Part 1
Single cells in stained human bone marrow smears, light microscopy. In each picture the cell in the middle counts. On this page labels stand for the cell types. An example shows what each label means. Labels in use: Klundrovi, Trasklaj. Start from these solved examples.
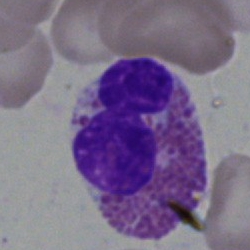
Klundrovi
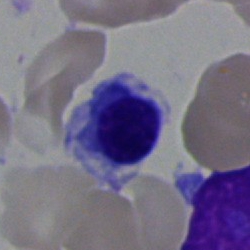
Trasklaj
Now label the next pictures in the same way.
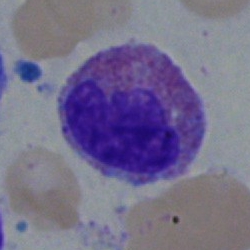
Klundrovi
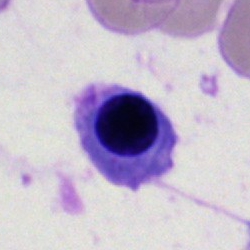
Trasklaj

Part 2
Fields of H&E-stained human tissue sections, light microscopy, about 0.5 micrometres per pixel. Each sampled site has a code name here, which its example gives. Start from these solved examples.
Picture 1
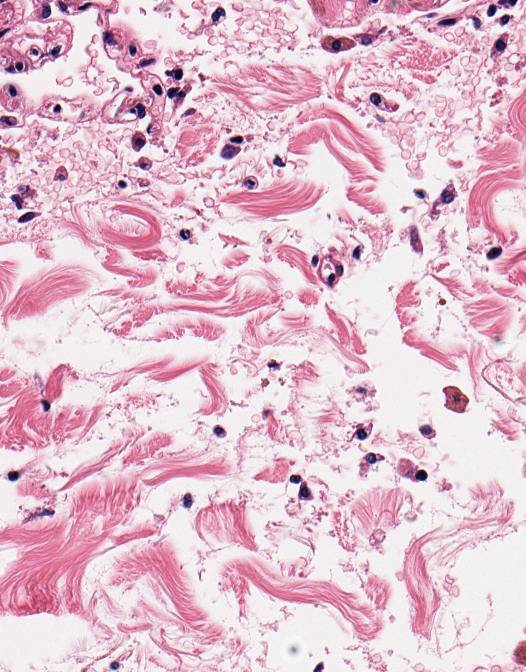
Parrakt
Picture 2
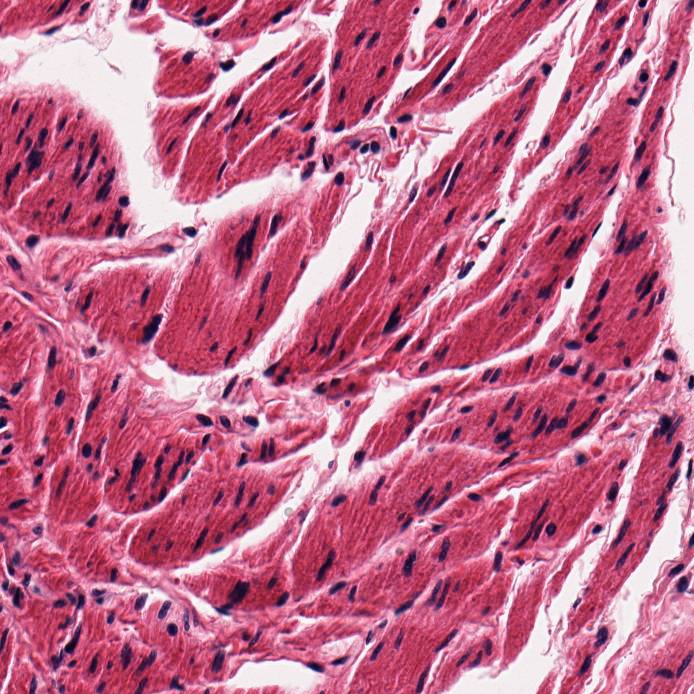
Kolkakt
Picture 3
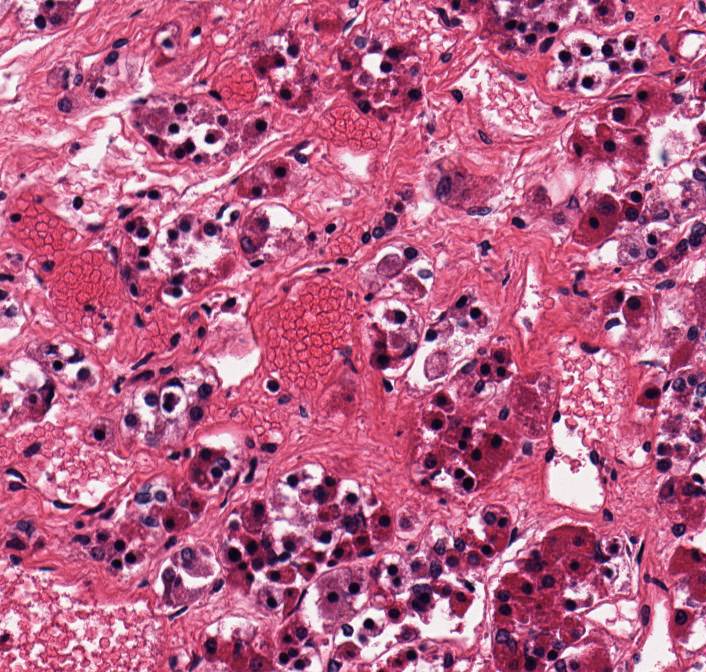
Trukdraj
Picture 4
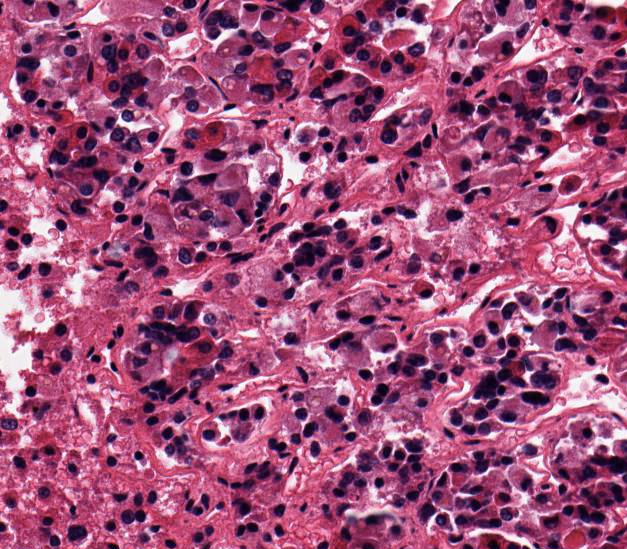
Trukdraj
